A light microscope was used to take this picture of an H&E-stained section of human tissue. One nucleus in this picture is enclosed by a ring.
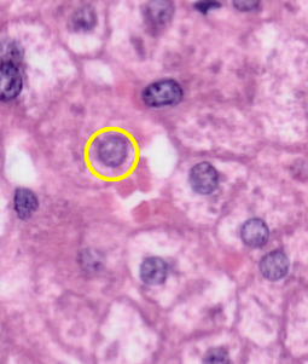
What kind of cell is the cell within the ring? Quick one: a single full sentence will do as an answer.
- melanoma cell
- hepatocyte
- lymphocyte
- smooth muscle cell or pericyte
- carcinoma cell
It is as a hepatocyte that the cell within the ring is classified.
